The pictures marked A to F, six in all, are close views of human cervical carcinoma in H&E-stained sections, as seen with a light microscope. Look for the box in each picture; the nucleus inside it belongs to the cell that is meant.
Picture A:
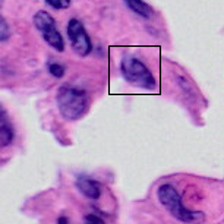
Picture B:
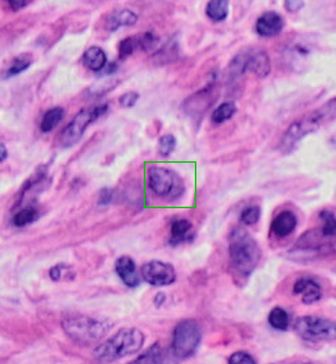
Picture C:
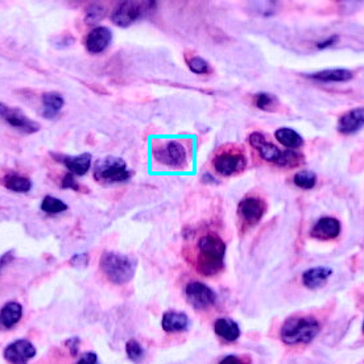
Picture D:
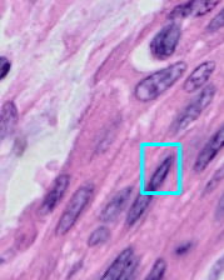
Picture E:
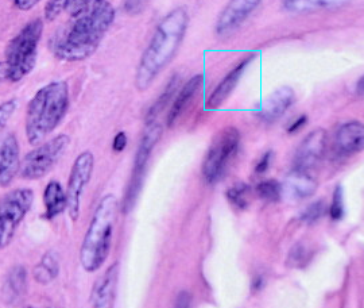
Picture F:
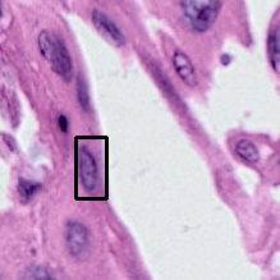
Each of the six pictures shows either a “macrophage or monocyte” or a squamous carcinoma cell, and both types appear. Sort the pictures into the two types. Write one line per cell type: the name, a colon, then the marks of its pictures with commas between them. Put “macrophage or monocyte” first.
macrophage or monocyte: B, C
squamous carcinoma cell: A, D, E, F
